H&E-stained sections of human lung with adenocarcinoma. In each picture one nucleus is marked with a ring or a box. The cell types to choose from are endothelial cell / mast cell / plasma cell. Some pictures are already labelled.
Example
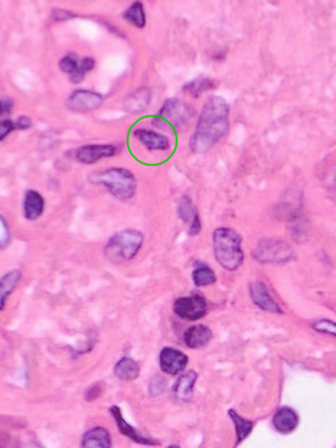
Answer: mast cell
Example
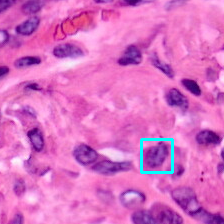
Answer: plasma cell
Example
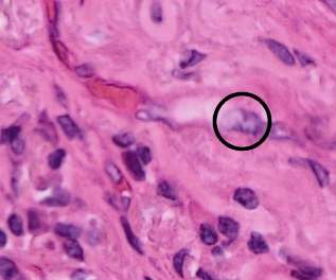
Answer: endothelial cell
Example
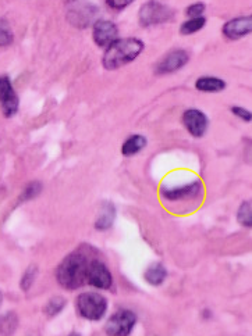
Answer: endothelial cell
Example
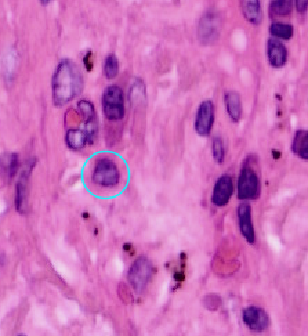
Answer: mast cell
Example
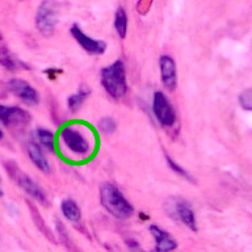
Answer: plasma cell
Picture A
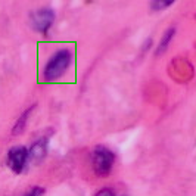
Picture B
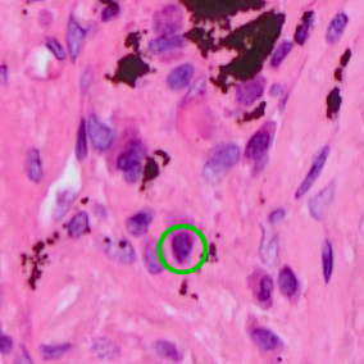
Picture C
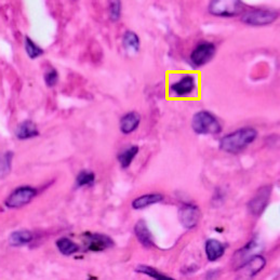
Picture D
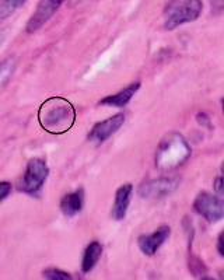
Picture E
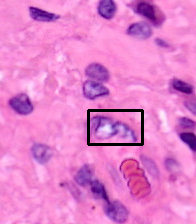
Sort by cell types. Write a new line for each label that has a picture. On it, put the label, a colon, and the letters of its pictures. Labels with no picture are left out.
endothelial cell: E
mast cell: A, D
plasma cell: B, C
